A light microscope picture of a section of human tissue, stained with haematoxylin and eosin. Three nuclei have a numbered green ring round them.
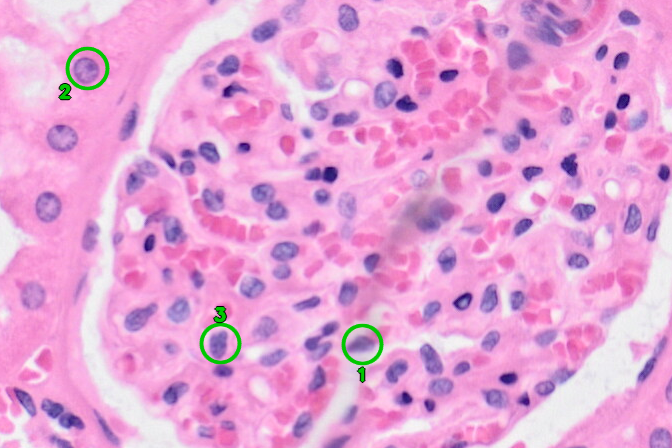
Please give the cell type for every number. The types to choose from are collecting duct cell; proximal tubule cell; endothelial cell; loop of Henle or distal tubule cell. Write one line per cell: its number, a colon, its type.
1: endothelial cell
2: proximal tubule cell
3: endothelial cell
